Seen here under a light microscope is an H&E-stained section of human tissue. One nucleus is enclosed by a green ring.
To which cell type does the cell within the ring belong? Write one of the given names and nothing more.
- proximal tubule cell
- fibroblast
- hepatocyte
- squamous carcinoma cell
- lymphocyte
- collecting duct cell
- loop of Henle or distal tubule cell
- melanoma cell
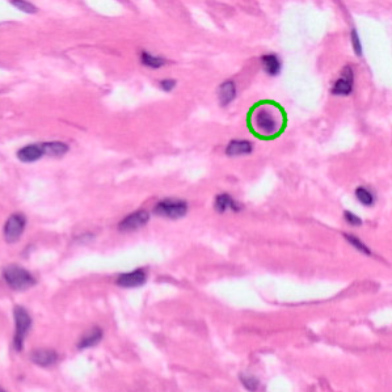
fibroblast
